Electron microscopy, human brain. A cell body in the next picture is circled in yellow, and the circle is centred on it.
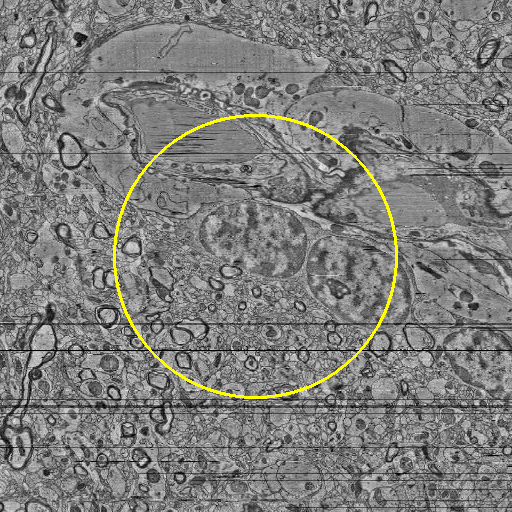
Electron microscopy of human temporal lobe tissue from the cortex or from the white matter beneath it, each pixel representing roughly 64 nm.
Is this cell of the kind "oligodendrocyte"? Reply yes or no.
yes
